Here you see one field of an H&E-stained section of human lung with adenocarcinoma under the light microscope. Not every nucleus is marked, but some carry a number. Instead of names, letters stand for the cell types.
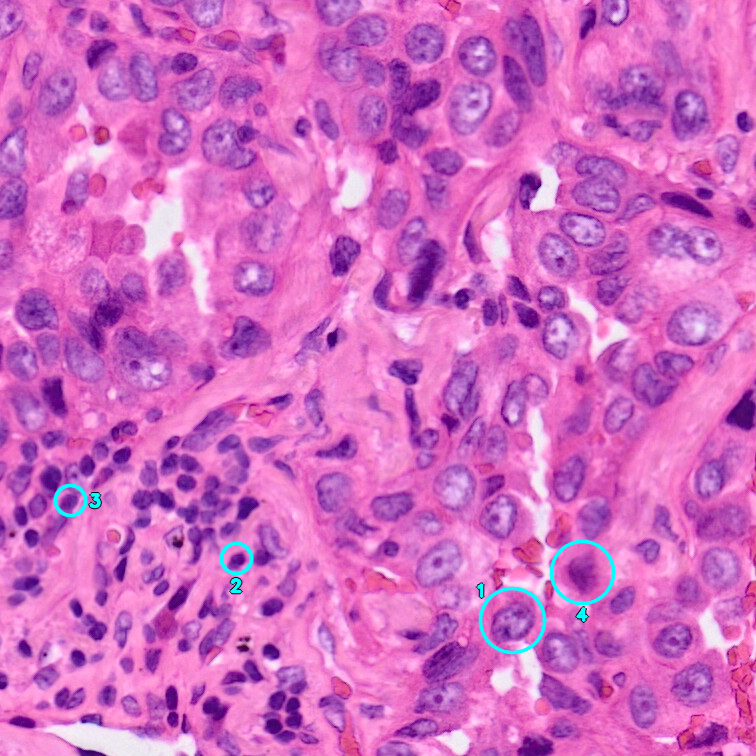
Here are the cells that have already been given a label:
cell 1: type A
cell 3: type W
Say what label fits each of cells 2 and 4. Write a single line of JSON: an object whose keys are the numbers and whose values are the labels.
{"2": "type W", "4": "type A"}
